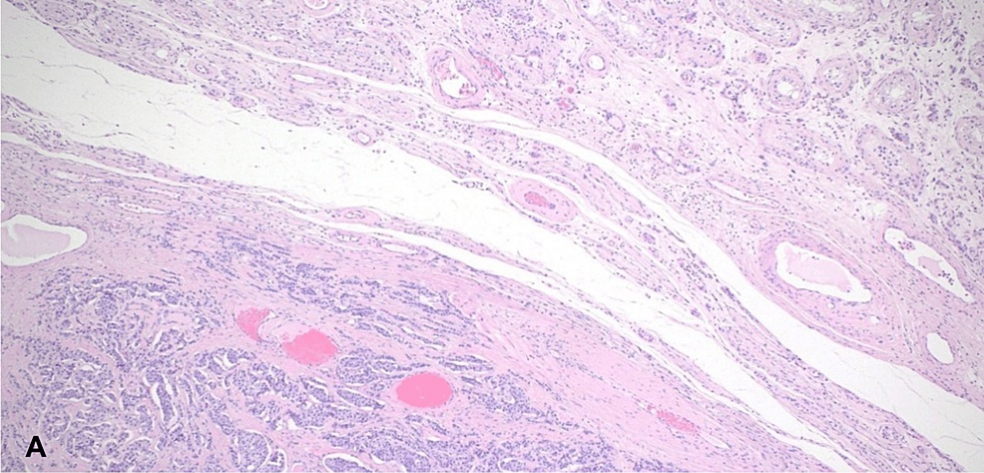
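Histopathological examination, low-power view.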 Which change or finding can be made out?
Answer: Well-defined neoplastic tumor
